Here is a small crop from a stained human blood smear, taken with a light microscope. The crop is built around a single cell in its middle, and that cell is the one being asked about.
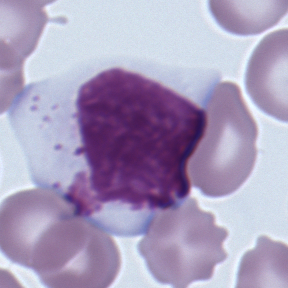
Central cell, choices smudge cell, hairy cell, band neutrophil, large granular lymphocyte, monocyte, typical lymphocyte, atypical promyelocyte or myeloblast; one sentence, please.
In this crop, the cell at the very middle is a large granular lymphocyte.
